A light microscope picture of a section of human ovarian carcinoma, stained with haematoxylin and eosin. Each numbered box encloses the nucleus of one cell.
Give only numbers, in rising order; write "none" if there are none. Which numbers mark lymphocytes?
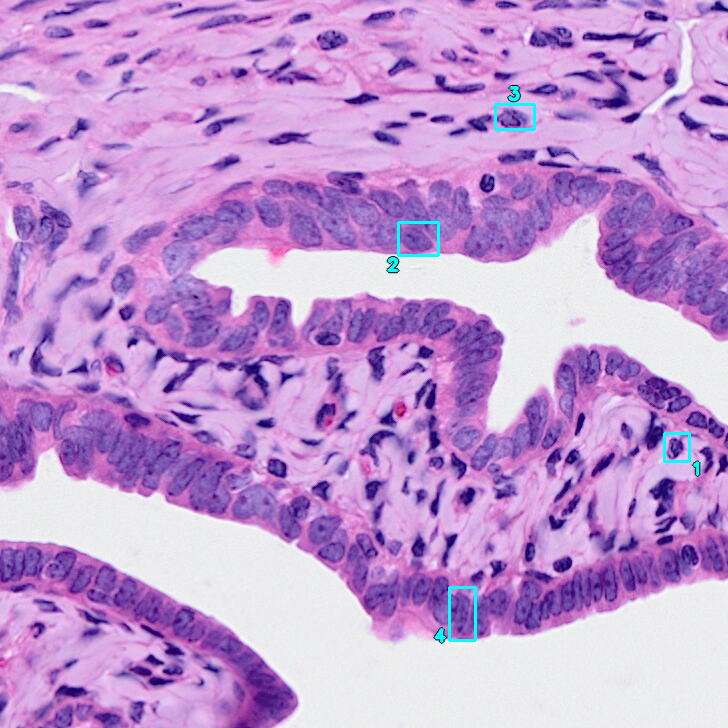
1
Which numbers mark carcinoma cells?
2, 4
